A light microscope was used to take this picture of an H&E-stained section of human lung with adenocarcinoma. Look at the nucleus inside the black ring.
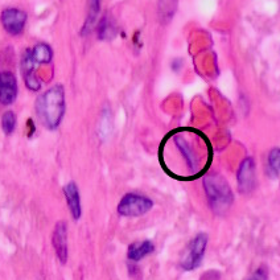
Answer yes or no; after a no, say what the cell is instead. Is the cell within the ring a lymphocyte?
No, it is an endothelial cell.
